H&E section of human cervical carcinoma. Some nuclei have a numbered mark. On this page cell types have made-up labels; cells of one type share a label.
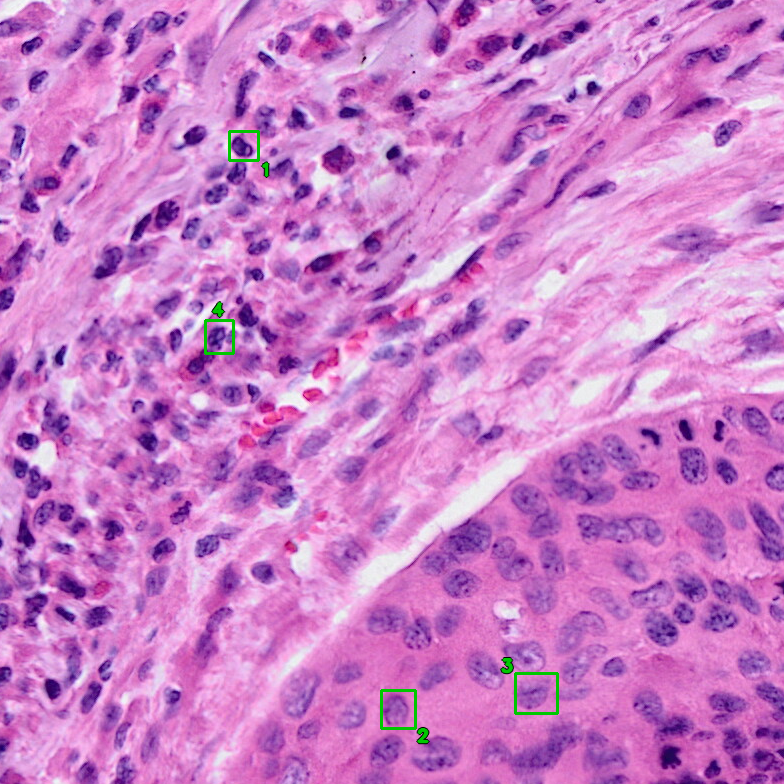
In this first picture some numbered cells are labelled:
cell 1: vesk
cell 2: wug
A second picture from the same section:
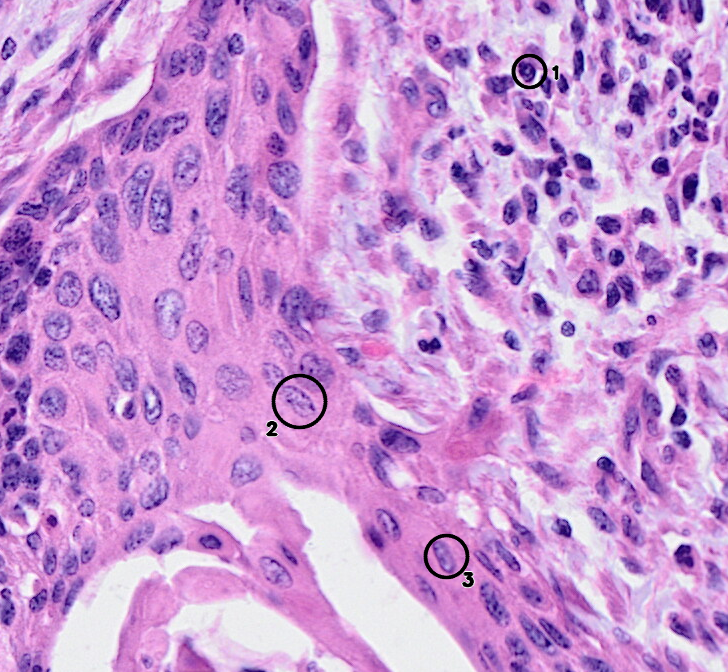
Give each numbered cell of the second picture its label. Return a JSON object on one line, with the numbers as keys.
{"1": "vesk", "2": "wug", "3": "wug"}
